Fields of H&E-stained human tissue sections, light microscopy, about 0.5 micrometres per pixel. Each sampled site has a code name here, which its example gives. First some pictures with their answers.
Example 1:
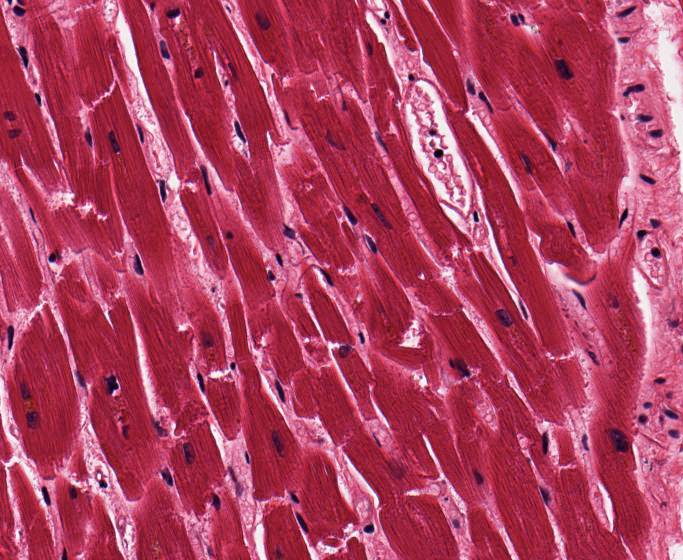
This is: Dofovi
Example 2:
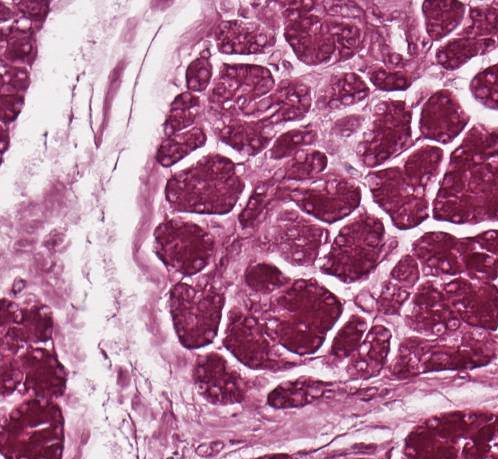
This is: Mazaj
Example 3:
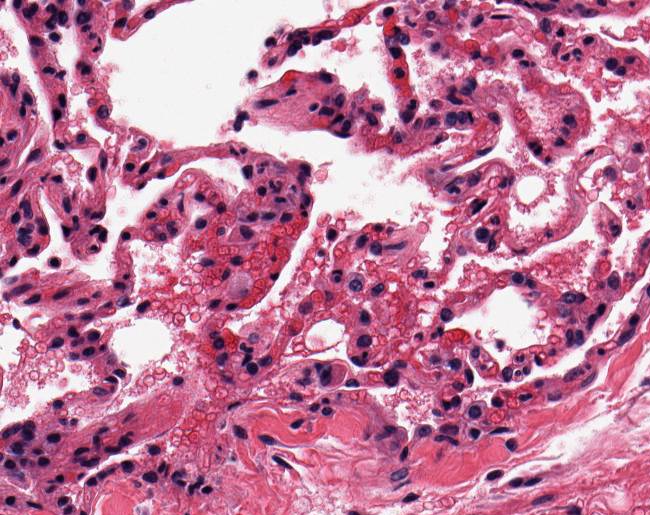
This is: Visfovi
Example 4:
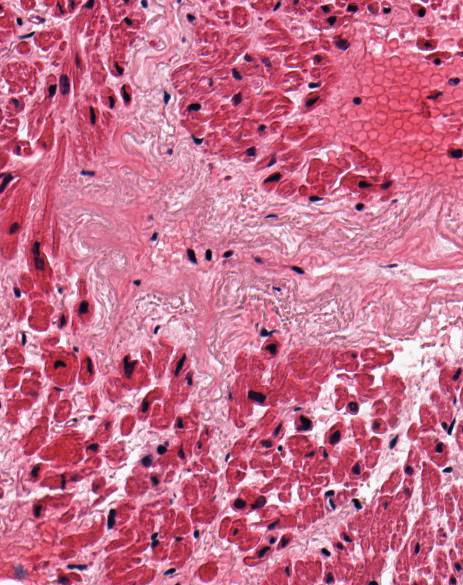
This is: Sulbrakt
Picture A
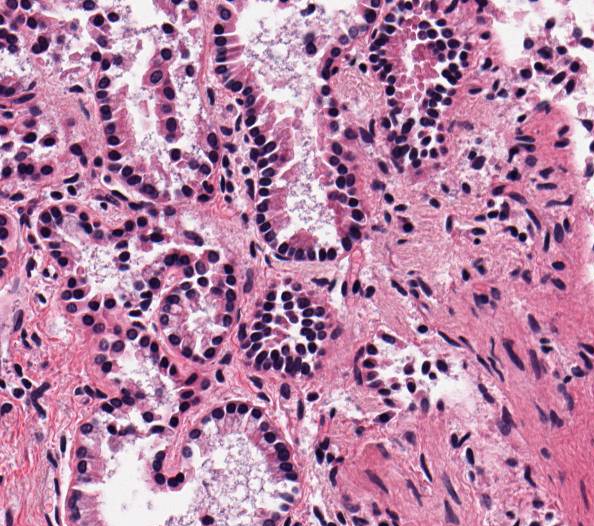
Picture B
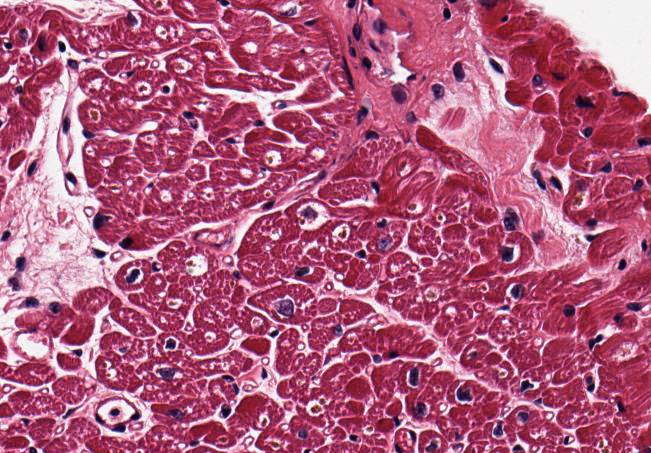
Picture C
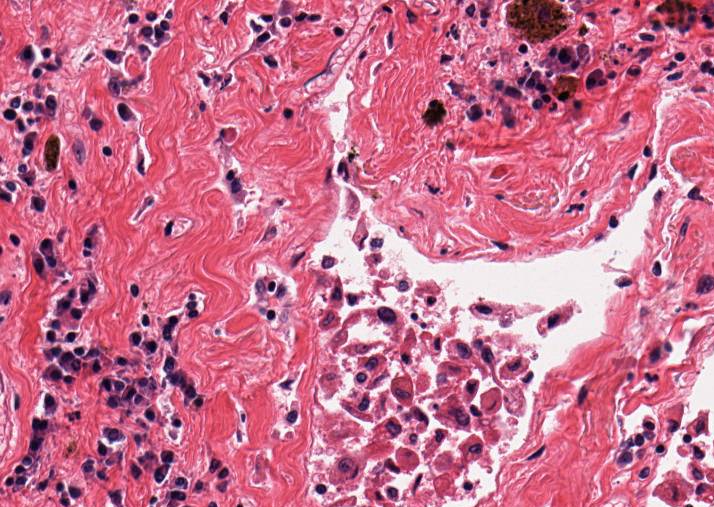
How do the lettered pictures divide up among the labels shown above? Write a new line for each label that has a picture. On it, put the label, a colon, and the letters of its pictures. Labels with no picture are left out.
Dofovi: B
Mazaj: A
Visfovi: C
